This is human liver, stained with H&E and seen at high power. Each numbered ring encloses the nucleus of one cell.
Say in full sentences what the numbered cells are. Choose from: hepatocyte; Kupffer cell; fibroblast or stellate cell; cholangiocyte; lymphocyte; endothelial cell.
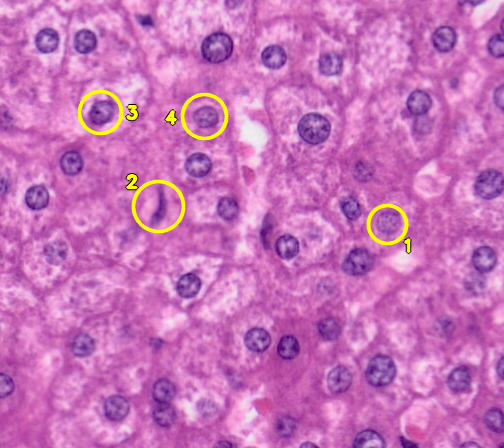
Cell 1 is a hepatocyte, cell 2 is a Kupffer cell, cell 3 is a hepatocyte and cell 4 is a hepatocyte.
